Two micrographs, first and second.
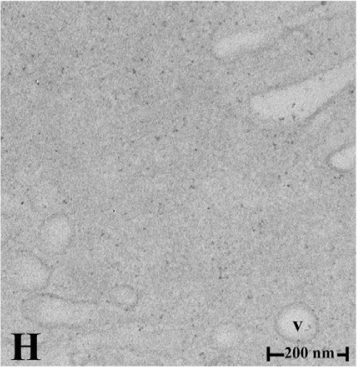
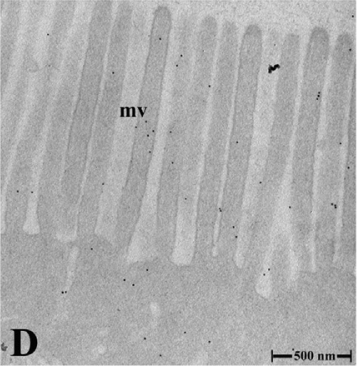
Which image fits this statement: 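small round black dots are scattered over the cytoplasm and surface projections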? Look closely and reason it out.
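Second image: many small black dots lie over the cytoplasm and between and within the projections. On this evidence: the second image.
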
